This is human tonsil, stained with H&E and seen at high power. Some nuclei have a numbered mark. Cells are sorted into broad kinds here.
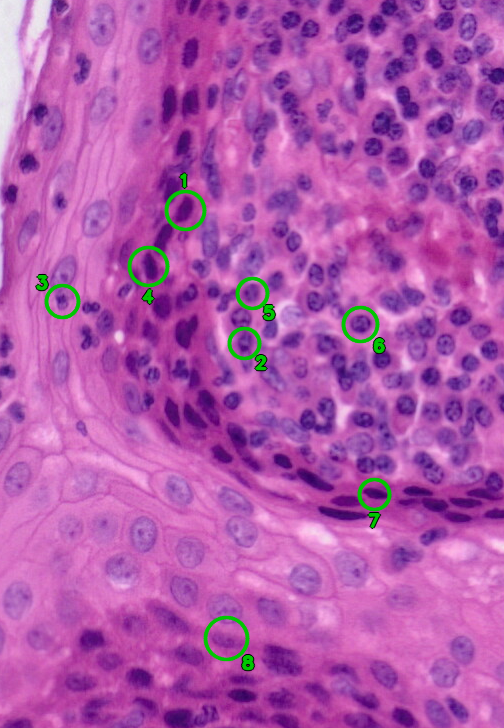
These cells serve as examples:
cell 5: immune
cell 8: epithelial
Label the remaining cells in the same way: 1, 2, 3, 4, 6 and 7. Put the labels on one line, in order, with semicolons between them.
epithelial; immune; epithelial; epithelial; immune; epithelial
